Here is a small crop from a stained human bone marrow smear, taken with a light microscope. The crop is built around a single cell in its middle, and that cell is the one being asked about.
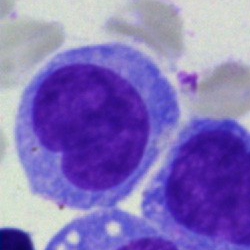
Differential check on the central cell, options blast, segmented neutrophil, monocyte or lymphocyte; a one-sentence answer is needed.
Classified as a monocyte is the cell in the middle of this crop.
